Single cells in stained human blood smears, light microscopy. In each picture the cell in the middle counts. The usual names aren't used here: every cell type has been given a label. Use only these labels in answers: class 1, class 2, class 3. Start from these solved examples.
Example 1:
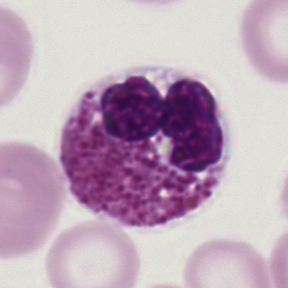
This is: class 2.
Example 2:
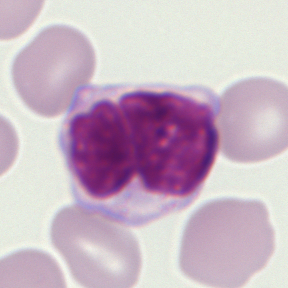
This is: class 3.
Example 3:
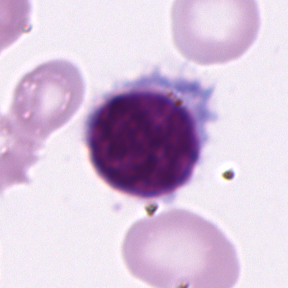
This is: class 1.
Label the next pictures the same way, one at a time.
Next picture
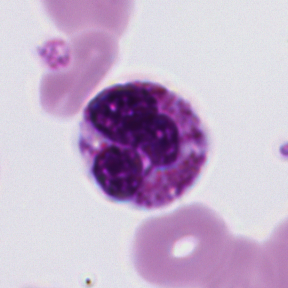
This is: class 2.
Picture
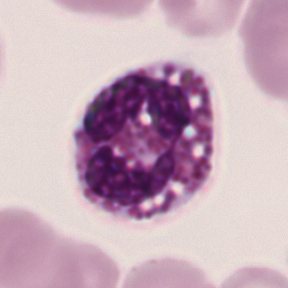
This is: class 2.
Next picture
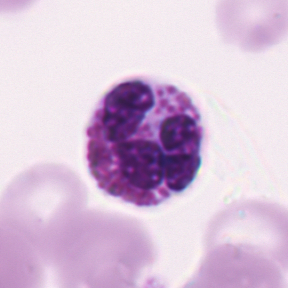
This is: class 2.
